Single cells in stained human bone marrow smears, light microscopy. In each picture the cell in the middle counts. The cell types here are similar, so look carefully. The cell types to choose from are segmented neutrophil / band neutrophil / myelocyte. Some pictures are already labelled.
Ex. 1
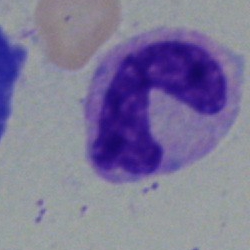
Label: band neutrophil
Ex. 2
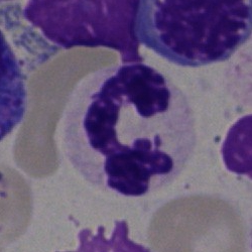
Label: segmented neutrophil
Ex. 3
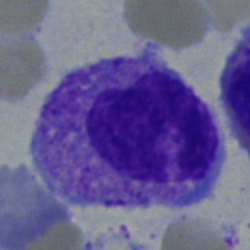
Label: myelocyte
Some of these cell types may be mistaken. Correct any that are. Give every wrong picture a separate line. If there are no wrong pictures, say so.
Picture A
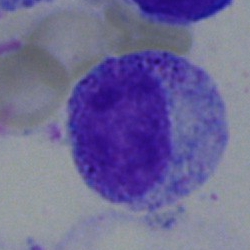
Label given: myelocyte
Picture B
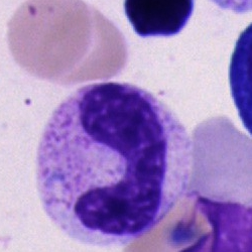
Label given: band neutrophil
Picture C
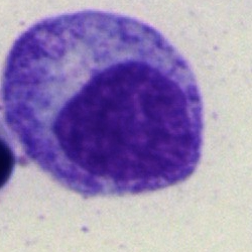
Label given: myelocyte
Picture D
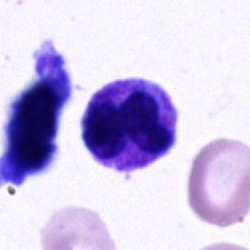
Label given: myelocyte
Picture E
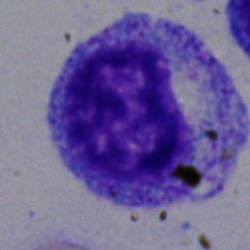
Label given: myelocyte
D: change myelocyte to segmented neutrophil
